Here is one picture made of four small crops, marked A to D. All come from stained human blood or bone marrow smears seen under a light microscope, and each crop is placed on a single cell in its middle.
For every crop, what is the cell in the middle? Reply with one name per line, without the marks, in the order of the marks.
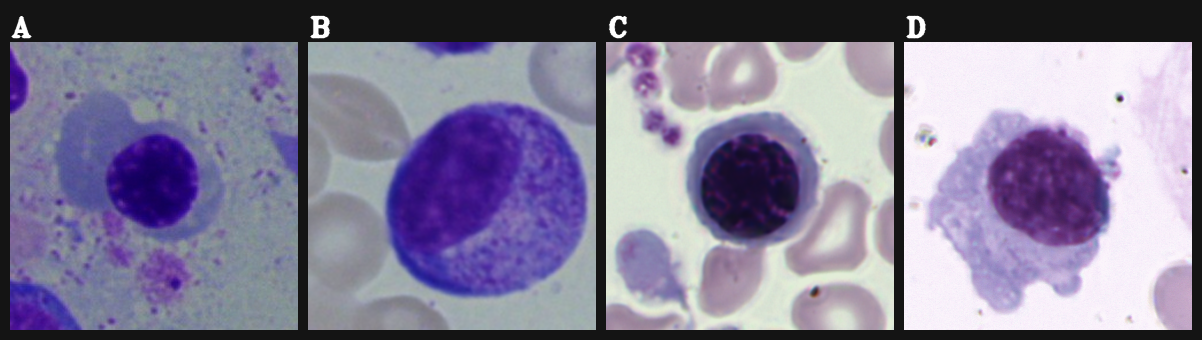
erythroblast
promyelocyte
erythroblast
plasma cell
